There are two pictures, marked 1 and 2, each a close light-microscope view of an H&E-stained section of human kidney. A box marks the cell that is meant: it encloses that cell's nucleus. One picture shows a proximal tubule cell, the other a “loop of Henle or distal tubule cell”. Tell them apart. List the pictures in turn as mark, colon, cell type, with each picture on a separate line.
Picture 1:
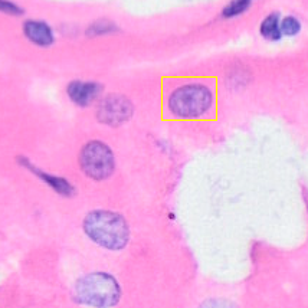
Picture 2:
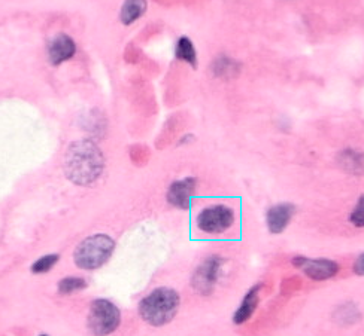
1: proximal tubule cell
2: loop of Henle or distal tubule cell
